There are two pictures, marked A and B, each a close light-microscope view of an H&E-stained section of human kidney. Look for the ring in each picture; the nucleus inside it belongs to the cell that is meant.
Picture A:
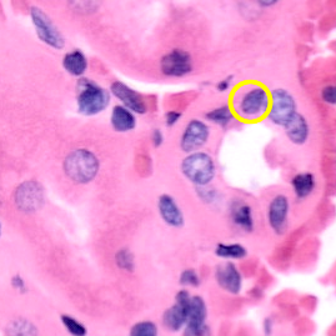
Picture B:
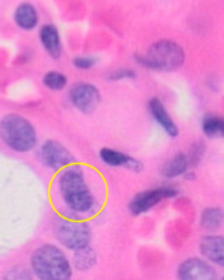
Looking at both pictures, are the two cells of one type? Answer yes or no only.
yes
